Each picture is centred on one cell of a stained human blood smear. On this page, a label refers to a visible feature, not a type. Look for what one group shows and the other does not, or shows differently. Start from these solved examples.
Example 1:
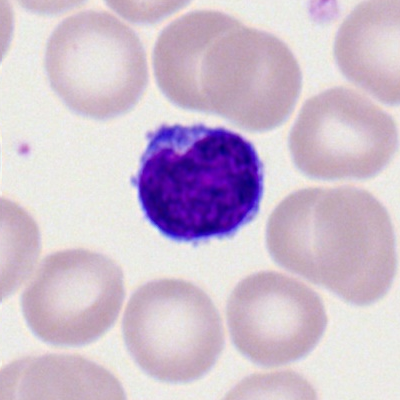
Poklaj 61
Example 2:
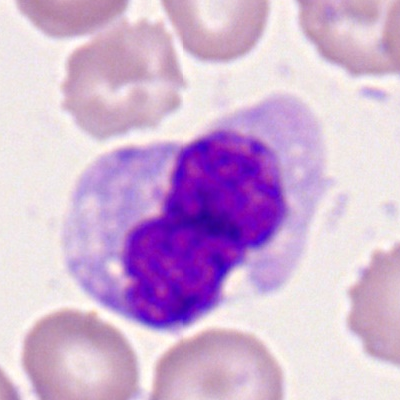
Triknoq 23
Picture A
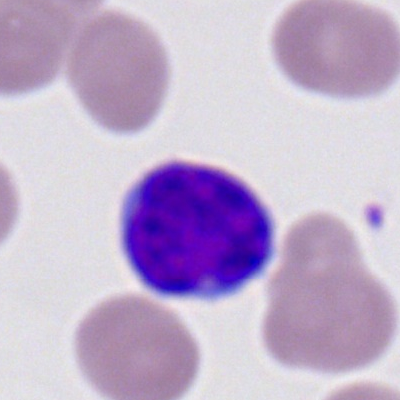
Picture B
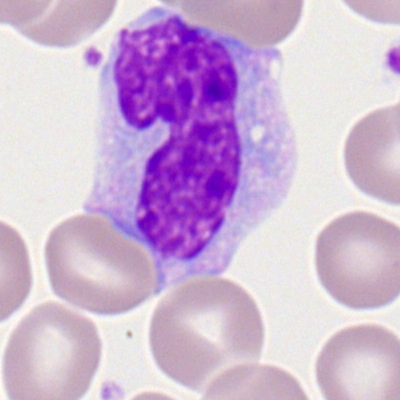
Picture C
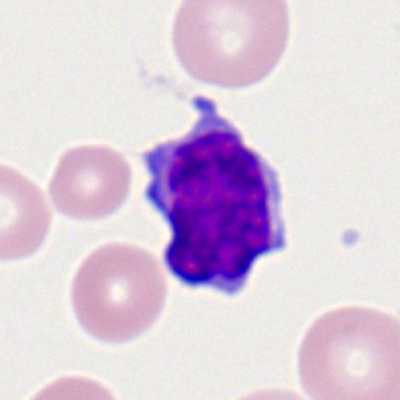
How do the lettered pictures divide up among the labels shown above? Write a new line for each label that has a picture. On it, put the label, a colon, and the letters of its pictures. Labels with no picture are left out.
Poklaj 61: A, C
Triknoq 23: B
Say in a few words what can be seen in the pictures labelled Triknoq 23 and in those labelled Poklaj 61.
In Triknoq 23: abundant cytoplasm. In Poklaj 61: scant cytoplasm.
